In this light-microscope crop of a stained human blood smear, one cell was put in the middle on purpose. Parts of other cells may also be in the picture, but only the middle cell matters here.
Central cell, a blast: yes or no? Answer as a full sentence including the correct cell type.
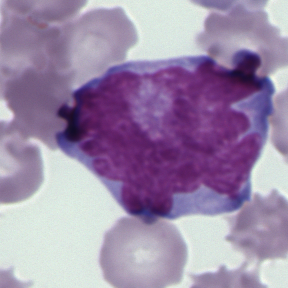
Yes, the cell in the middle is a blast.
